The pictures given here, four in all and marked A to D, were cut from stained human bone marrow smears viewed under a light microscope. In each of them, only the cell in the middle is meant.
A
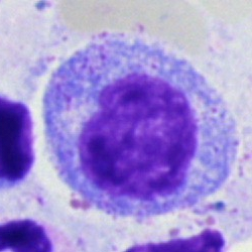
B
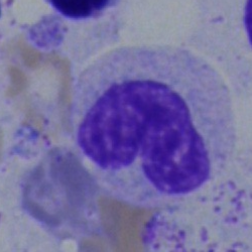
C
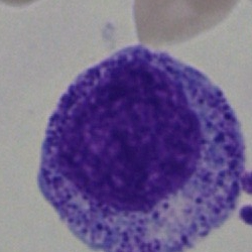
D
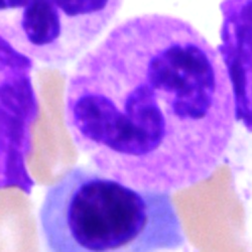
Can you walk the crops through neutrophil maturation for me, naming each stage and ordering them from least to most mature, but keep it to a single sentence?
Ordered by maturity, from least to most, the crops are crop A (a promyelocyte), crop C (a myelocyte), crop B (a band neutrophil) and crop D (a segmented neutrophil).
